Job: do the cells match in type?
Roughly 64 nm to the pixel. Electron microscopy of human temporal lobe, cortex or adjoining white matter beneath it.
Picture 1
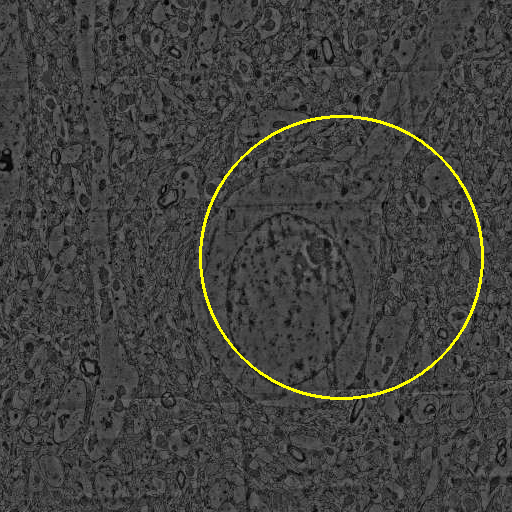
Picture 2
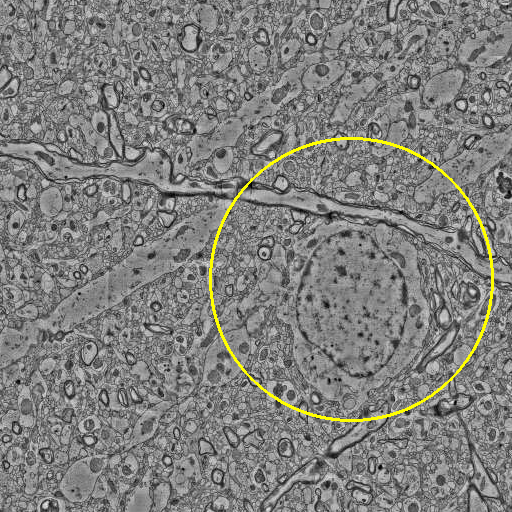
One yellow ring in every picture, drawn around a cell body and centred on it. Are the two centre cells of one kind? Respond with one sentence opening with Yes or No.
No, the ringed cells in the two pictures are of two separate kinds.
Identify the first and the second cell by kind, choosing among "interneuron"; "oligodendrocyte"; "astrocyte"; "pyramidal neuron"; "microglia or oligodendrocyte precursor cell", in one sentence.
The one in the first picture is a pyramidal neuron, while the one in the second is an astrocyte.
